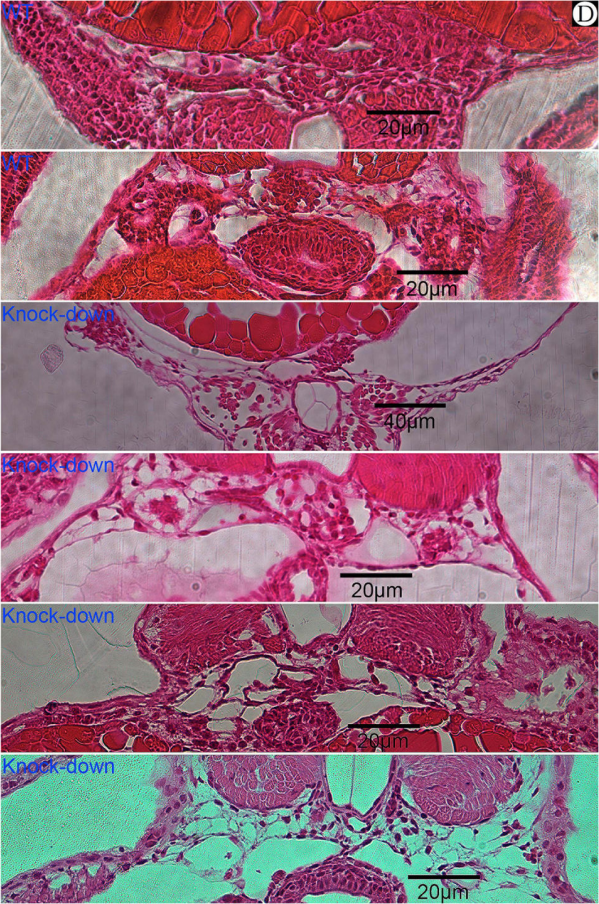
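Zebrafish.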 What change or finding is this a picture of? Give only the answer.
Expanded Bowman’s space and destroyed glomeruli.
